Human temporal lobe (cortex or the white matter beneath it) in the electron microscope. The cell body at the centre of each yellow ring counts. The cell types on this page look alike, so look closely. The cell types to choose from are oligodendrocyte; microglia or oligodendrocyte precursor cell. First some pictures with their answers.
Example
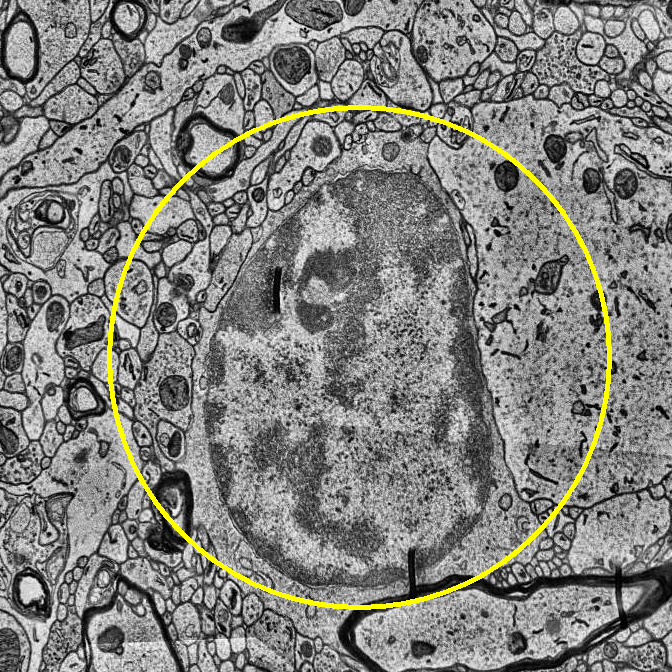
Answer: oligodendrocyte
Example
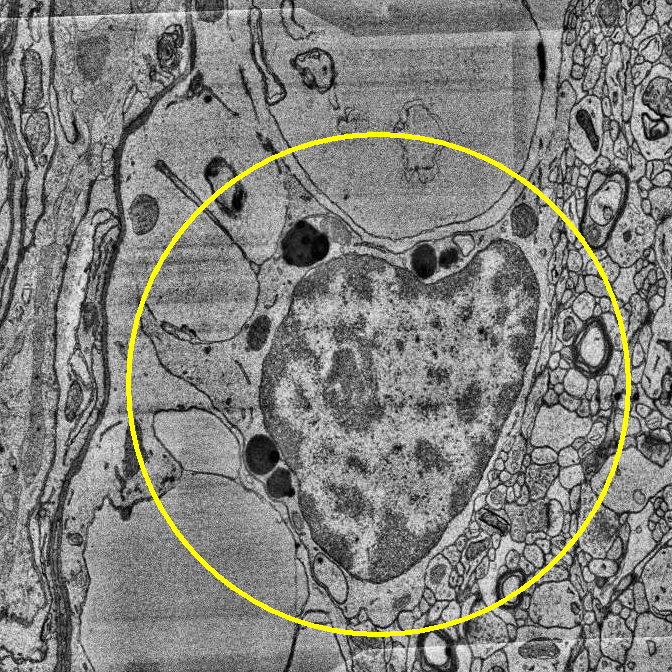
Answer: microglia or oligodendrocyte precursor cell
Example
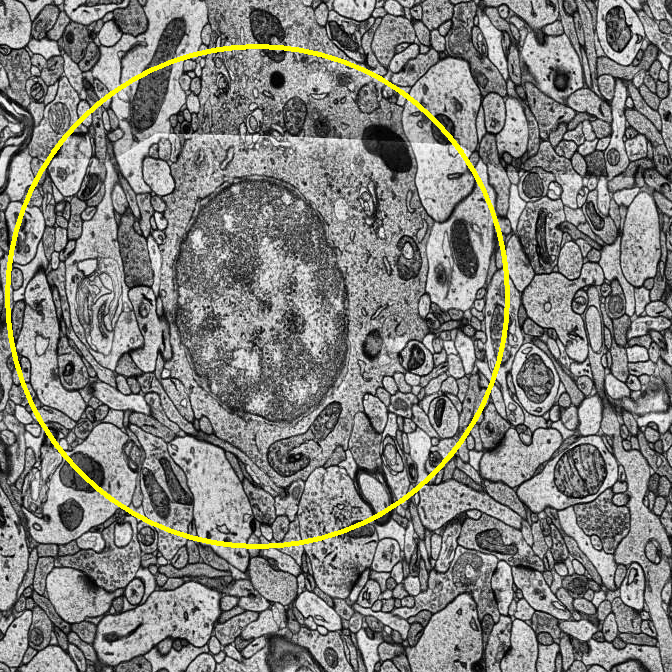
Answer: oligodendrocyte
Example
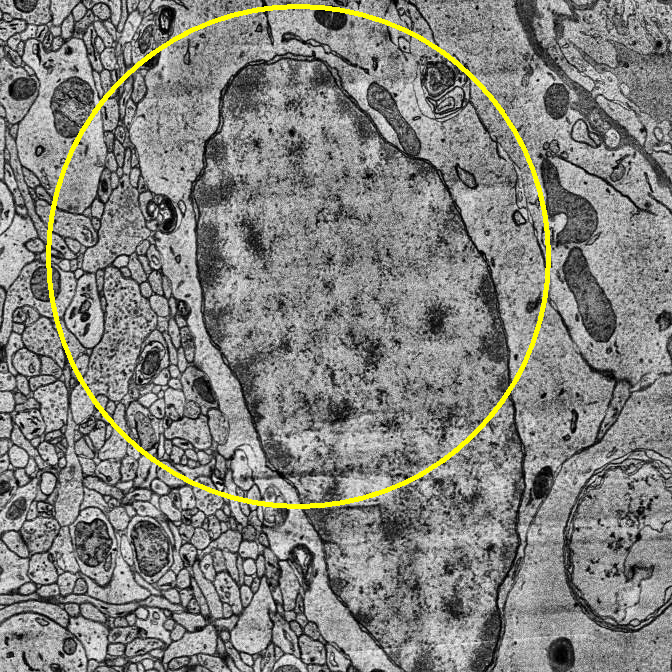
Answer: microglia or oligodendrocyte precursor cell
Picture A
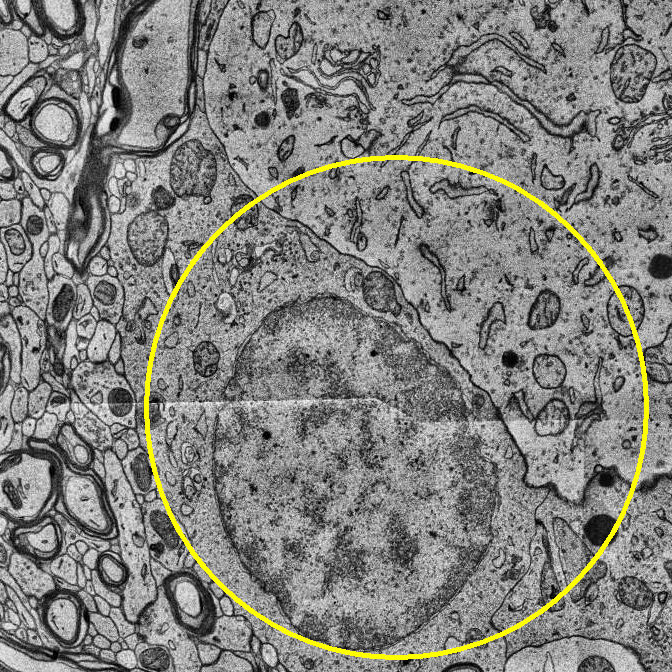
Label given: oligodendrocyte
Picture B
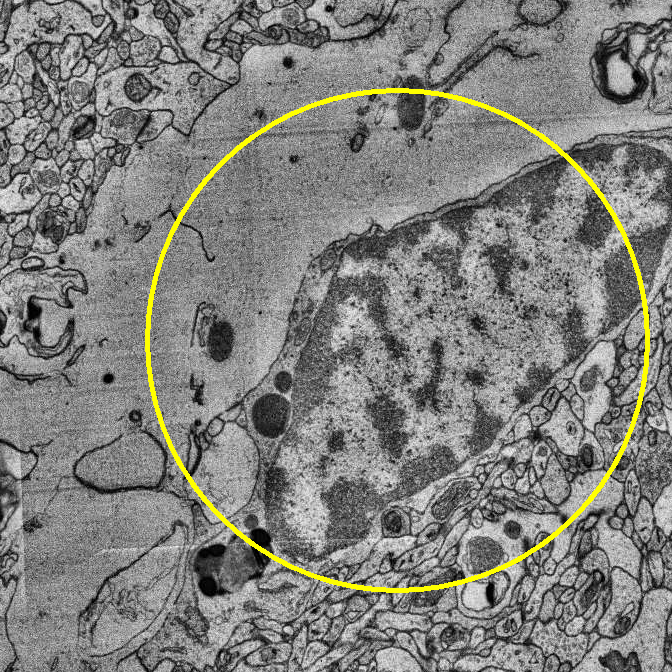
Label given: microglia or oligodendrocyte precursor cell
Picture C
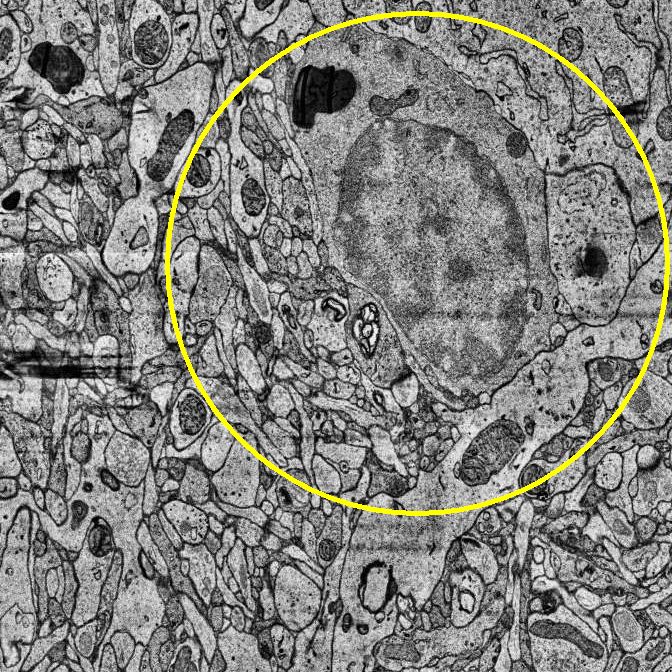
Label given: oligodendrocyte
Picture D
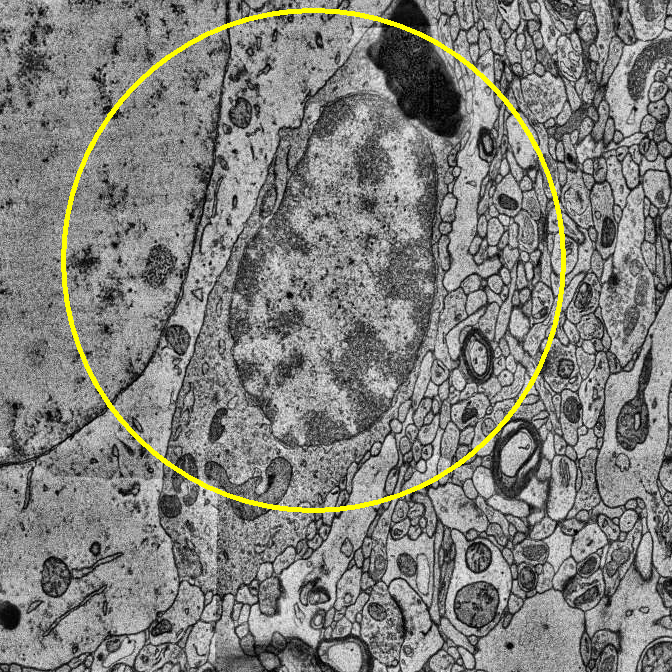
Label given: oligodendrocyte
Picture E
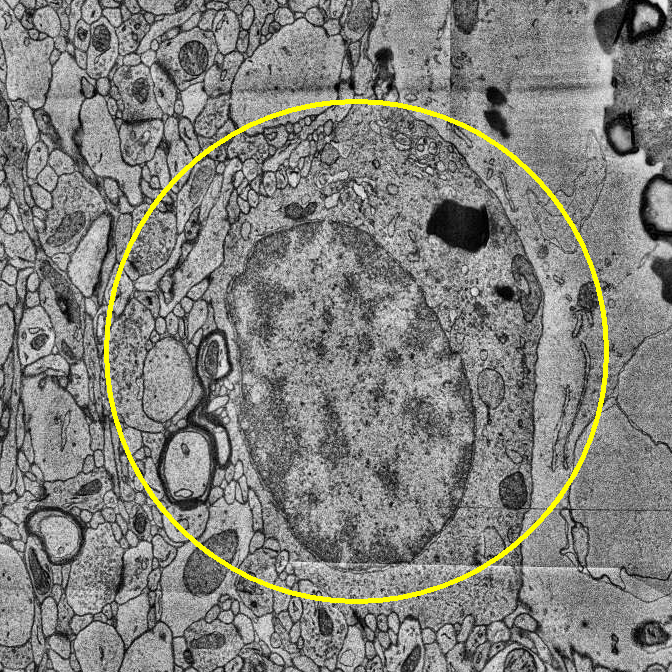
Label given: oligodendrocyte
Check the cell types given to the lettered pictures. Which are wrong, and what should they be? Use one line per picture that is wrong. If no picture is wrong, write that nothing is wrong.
No label is wrong.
